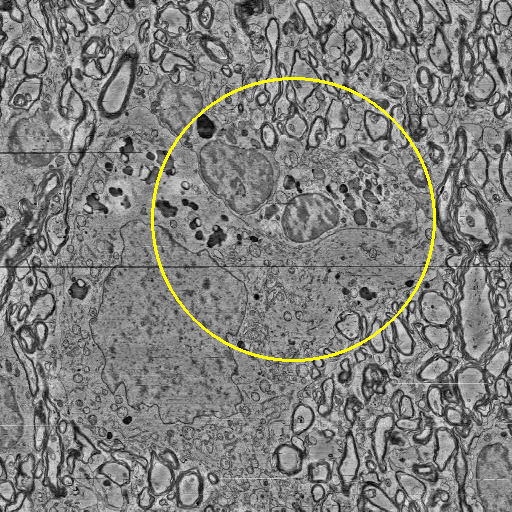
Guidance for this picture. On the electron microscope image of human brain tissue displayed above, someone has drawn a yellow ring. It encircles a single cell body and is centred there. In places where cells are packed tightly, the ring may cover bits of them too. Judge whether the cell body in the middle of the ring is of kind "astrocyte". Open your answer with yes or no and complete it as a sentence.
No, another kind matches the cell whose body lies at the ring's centre in the image above.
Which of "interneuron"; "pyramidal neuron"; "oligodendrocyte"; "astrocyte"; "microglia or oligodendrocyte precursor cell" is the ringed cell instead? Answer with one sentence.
In this picture, the ring is centred on a microglial cell or oligodendrocyte precursor cell.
